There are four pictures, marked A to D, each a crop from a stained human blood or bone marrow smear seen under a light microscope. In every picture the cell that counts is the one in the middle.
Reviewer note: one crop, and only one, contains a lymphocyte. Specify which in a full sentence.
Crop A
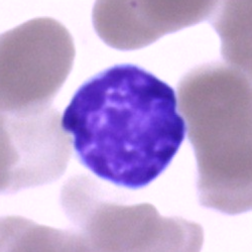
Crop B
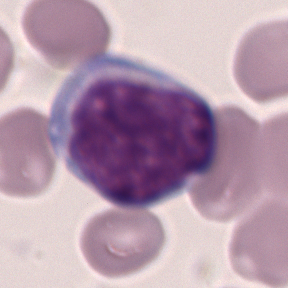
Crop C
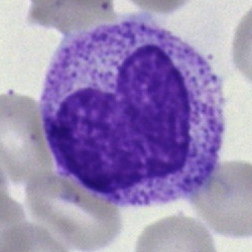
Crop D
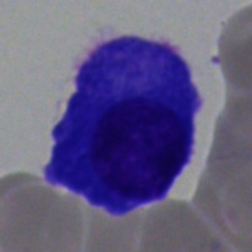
Crop A, and no other, is the one that shows a lymphocyte.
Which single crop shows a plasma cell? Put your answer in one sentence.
Crop D is the one depicting a plasma cell.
